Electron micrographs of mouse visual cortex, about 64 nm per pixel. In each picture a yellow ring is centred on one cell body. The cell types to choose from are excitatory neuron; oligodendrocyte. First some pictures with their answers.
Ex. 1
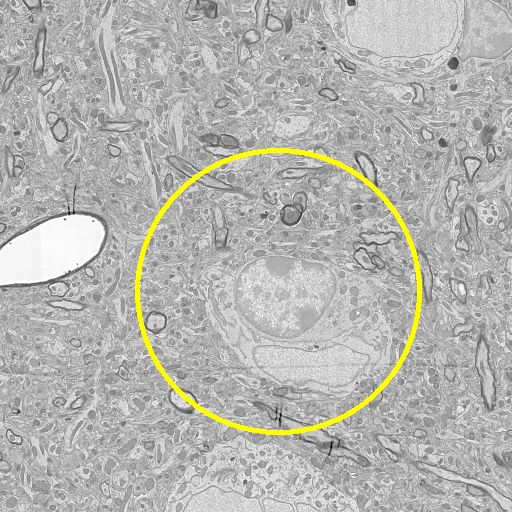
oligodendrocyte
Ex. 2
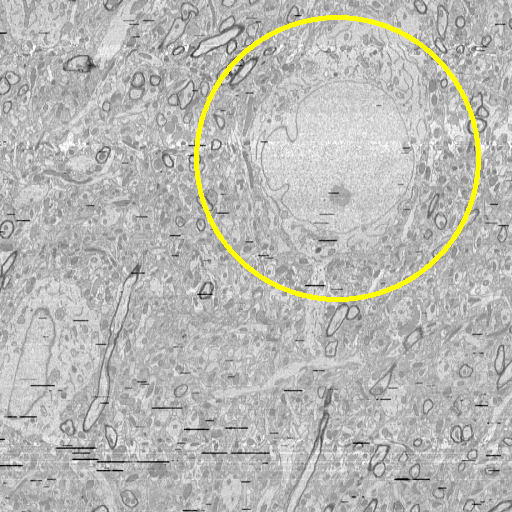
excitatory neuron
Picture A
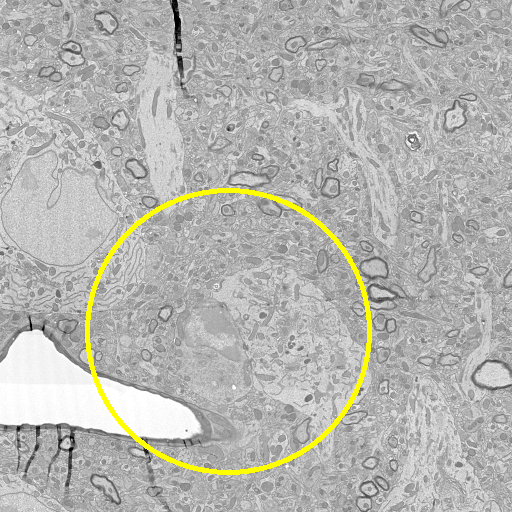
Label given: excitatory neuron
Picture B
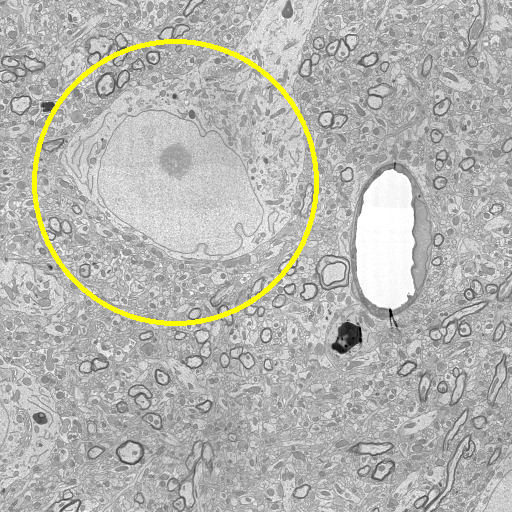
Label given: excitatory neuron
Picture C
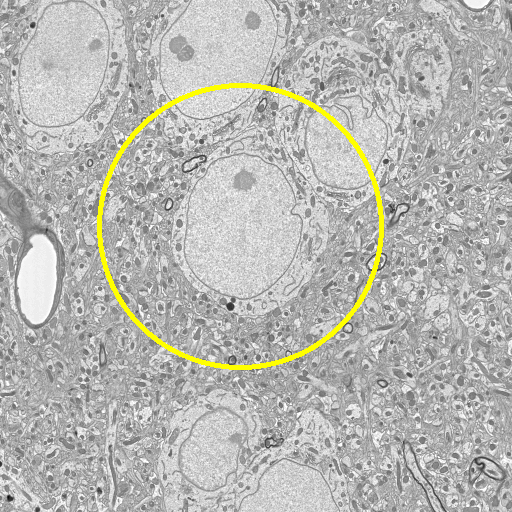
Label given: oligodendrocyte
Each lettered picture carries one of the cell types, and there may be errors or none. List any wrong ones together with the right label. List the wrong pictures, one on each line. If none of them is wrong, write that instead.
A is labelled excitatory neuron; correct label: oligodendrocyte
C is labelled oligodendrocyte; correct label: excitatory neuron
